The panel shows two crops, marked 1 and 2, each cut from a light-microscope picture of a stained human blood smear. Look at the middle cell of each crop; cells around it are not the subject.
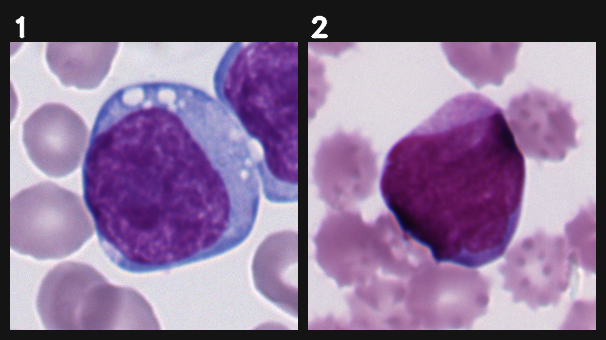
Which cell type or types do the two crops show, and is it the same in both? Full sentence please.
Yes, the cells at the centre of the two crops are both myeloblasts.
